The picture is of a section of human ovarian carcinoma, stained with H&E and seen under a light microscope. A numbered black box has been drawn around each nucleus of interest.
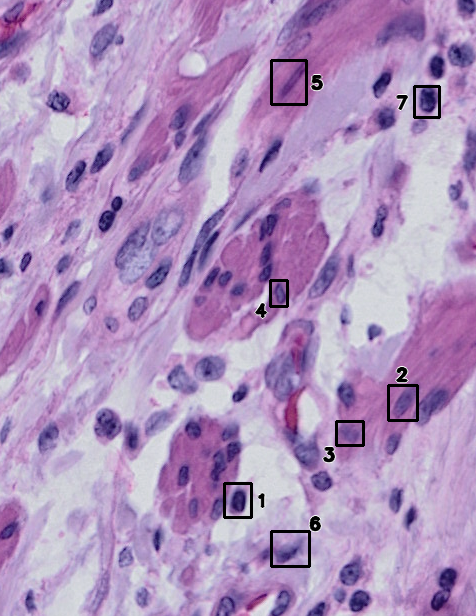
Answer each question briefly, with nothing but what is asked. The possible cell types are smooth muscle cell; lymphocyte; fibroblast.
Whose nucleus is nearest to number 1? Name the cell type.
smooth muscle cell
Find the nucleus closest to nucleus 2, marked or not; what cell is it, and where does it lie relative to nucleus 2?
a smooth muscle cell to the right of nucleus 2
